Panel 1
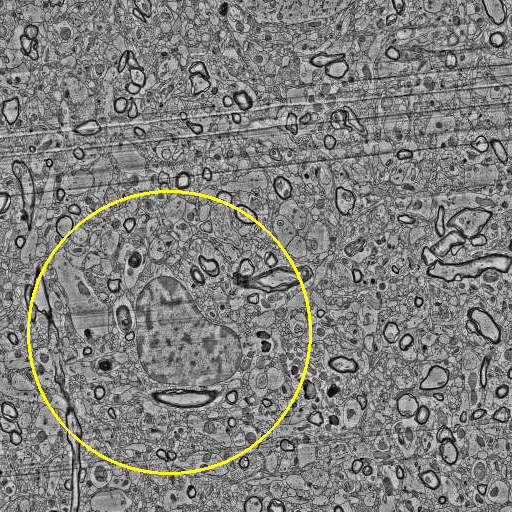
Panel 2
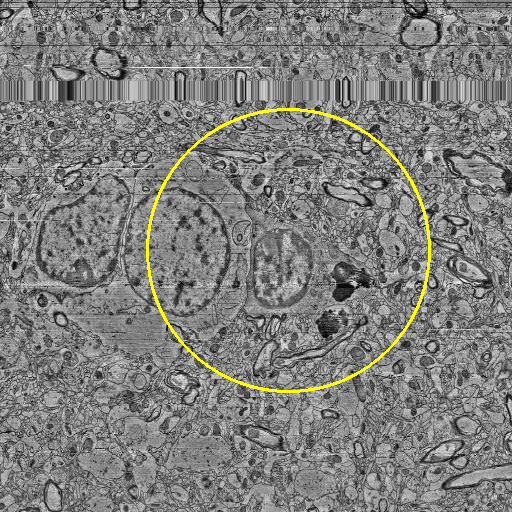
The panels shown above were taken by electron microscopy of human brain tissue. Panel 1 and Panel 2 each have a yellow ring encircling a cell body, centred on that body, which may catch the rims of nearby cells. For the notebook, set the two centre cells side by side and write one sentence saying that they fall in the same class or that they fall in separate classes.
The centred cells of Panel 1 and Panel 2 fall in separate classes.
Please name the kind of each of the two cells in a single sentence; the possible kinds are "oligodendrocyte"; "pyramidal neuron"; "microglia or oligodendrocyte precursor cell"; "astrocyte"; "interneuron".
In the first picture the ring is centred on a microglial cell or oligodendrocyte precursor cell, and in the second on an oligodendrocyte.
